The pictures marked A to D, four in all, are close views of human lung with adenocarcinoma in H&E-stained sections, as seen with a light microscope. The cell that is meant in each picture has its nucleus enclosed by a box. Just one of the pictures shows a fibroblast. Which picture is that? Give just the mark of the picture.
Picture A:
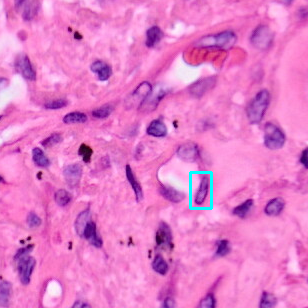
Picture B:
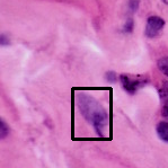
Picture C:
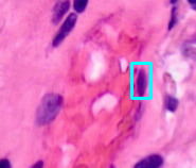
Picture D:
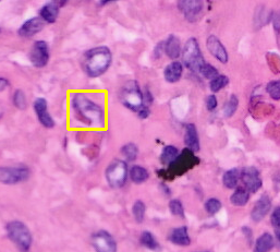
B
